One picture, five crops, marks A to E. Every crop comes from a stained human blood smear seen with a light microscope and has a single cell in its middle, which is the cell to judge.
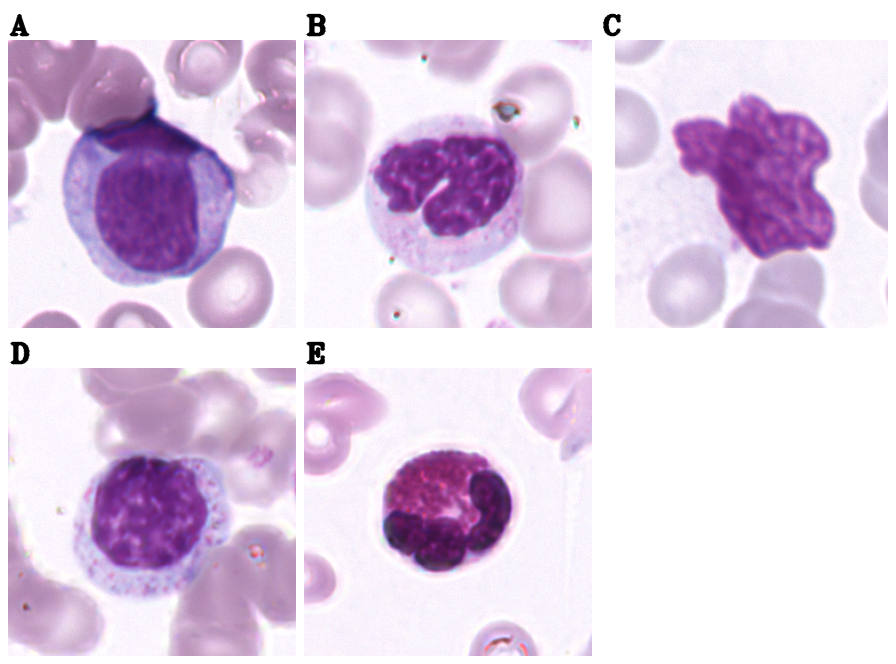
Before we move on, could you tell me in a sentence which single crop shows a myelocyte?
Of all the crops, crop D is the one showing a myelocyte.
